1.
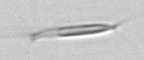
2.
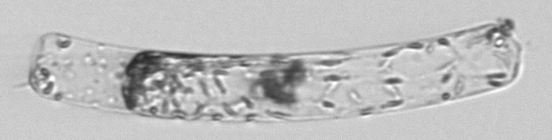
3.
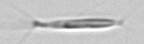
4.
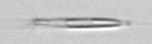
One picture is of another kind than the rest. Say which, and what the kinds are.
Picture 2 shows Guinardia; the rest show Calciosolenia.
